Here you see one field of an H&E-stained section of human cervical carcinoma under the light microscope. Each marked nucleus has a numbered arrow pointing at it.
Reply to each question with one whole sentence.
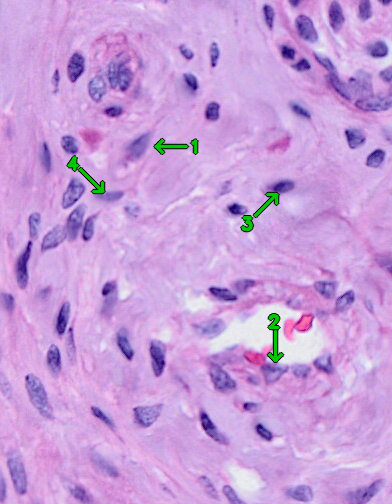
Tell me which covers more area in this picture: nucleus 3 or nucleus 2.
Nucleus 2 is the larger one, covering about 1.5 times the area of nucleus 3.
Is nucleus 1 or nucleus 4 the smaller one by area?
With nucleus 1 about 1.5 times its size, nucleus 4 is the smaller of the two.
